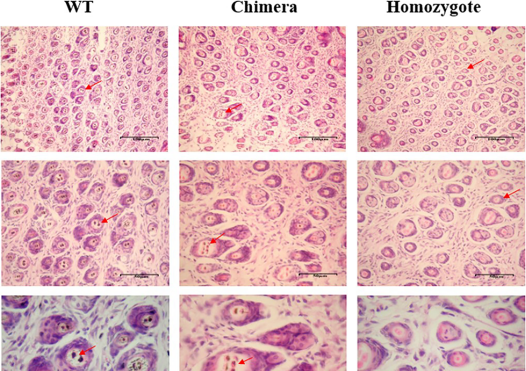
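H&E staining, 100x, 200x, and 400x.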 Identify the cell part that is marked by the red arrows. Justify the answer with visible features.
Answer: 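In the left and middle columns, the red arrows point at small dark brown-black granules. The granules lie within round, pink-stained structures with purple nuclei.
Hence: melanin.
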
